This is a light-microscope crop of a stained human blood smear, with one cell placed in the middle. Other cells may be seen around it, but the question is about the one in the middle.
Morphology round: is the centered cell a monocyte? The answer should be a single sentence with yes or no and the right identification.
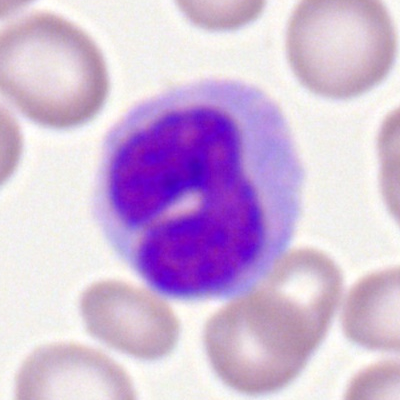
Yes, the cell at the midpoint of the crop is a monocyte.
